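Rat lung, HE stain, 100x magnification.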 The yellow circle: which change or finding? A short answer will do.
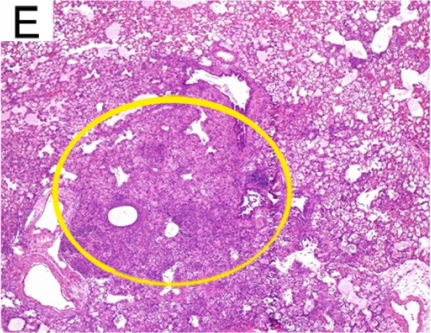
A: Cellular consolidation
